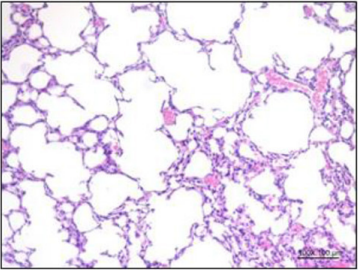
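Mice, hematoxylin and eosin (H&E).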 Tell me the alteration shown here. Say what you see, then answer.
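The air spaces are large and irregular, many merging into one another. The septa are thin and several end freely as if broken.
Emphysema.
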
